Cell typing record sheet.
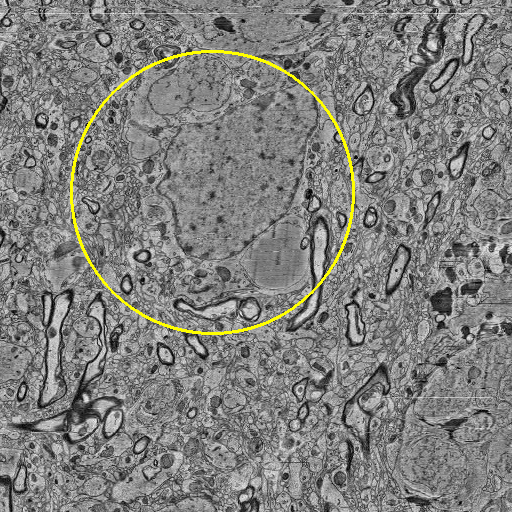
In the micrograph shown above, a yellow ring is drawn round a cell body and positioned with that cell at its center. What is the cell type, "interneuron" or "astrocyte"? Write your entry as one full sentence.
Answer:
The cell body at the center of the ring belongs to an astrocyte.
